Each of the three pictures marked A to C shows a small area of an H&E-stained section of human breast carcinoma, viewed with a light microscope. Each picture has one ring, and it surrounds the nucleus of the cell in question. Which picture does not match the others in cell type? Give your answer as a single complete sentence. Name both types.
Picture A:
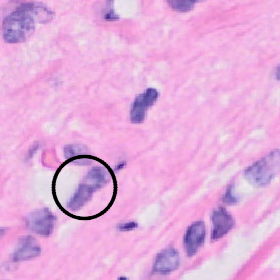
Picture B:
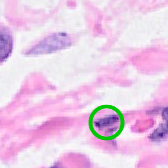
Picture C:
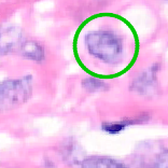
Picture C differs, because its cell is a carcinoma cell and the rest are endothelial cells.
